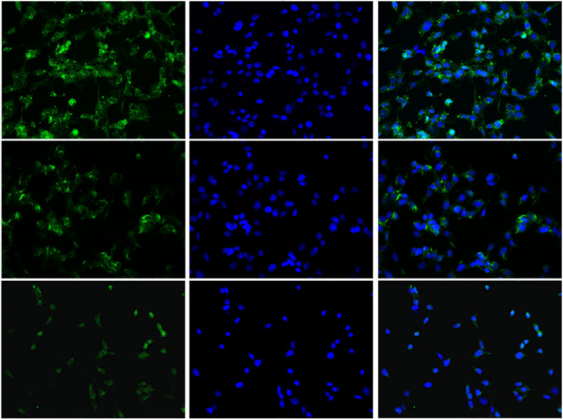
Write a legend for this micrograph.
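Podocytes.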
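The left column shows green staining alone, the middle column shows blue nuclei alone, and the right column overlays the two. The nuclei are round to oval and scattered singly across a dark background, with no tissue layering. The green signal lies in the cytoplasm around the nuclei as granular patches and irregular outlines of spread cells. In the top row the green is bright and dense and covers most cells. In the lower rows it is fainter and patchier, and in the bottom row the cells are also fewer.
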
